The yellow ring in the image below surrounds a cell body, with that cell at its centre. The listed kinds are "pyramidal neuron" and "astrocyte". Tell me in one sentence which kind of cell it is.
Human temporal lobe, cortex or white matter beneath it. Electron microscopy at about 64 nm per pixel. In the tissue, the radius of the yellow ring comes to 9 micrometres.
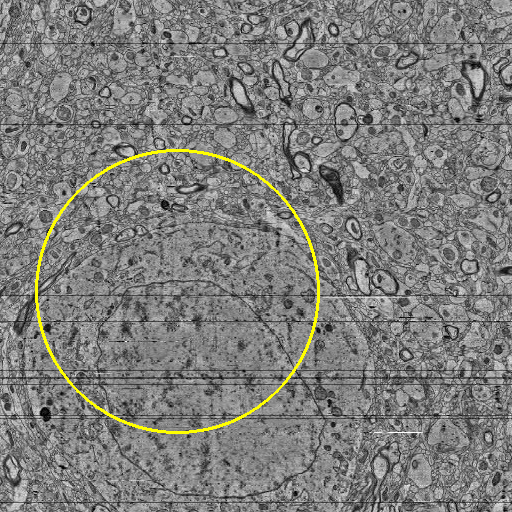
The centre of the ring holds a pyramidal neuron.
